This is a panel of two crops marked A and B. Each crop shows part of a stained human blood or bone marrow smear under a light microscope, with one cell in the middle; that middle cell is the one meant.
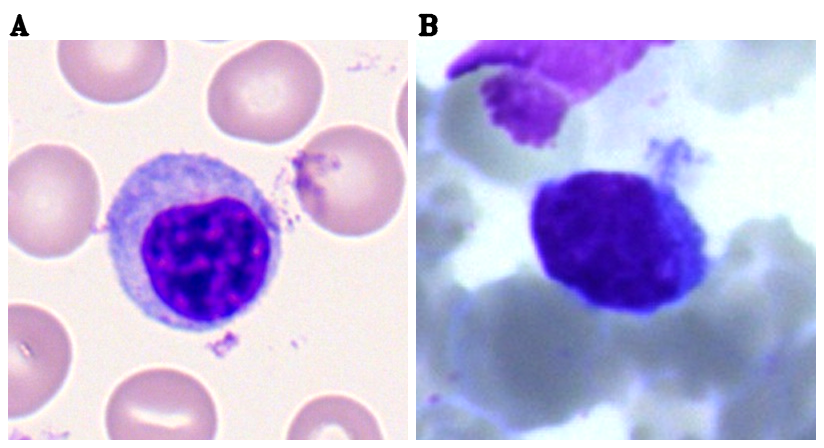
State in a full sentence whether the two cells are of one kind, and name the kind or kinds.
Yes, it is lymphocytes that both crops show.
